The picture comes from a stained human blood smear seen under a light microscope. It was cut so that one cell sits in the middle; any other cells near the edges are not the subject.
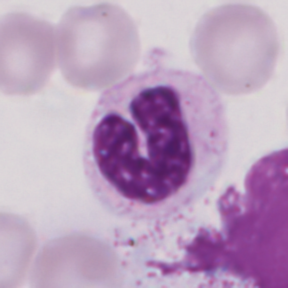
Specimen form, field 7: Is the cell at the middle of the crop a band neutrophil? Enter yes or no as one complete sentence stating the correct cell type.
Yes, the cell in the centre is a band neutrophil.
